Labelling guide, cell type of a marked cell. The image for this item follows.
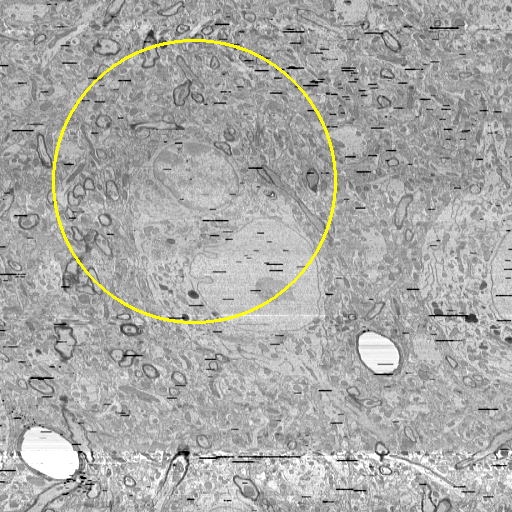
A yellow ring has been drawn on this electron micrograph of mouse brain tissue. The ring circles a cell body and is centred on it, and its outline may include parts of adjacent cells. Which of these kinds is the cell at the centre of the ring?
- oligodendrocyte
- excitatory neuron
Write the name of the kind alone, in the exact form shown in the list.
oligodendrocyte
